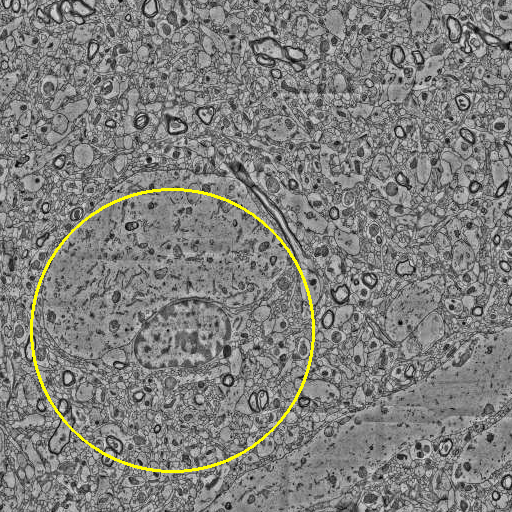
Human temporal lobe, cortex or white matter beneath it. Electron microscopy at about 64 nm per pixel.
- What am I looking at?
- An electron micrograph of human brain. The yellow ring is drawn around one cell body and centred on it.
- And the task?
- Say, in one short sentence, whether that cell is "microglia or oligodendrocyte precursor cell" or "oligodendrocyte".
The cell in the middle of the ring is a microglial cell or oligodendrocyte precursor cell.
